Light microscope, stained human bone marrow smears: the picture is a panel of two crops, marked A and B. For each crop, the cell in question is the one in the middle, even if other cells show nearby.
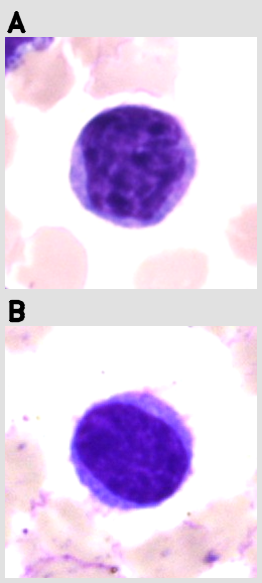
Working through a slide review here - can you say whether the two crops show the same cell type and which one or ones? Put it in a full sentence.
Yes, in the two crops, lymphocytes are the cells at the centre.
